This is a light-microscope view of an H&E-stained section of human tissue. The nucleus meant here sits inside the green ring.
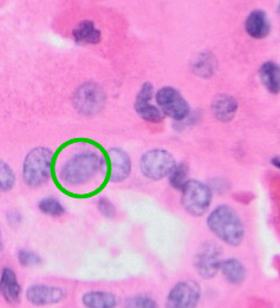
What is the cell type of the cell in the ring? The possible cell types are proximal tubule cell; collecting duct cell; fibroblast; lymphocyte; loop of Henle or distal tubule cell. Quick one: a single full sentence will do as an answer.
In the stained section, the cell in the ring is a collecting duct cell.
